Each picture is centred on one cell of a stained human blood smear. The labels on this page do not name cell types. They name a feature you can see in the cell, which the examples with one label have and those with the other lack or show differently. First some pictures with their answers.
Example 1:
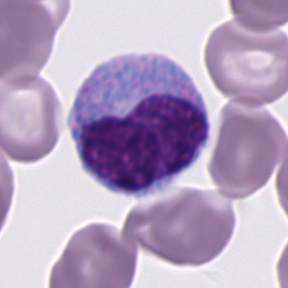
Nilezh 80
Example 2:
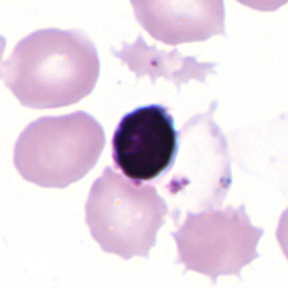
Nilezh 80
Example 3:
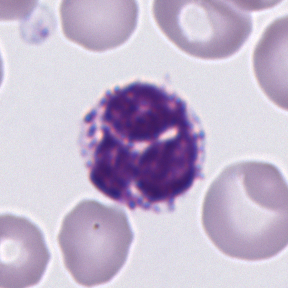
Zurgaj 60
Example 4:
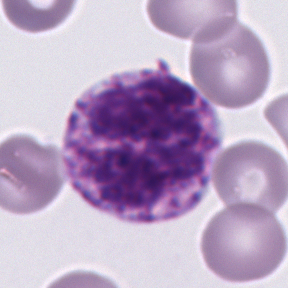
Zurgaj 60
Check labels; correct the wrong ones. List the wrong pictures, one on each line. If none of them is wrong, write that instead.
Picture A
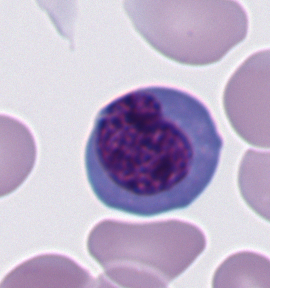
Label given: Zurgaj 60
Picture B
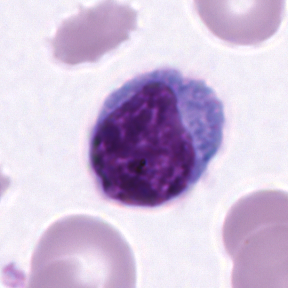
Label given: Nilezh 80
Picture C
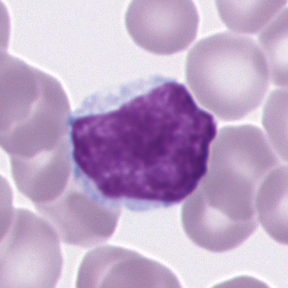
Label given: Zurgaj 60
A should be Nilezh 80, not Zurgaj 60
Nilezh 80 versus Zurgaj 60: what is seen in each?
Nilezh 80: smooth outline; Zurgaj 60: ragged outline or projections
